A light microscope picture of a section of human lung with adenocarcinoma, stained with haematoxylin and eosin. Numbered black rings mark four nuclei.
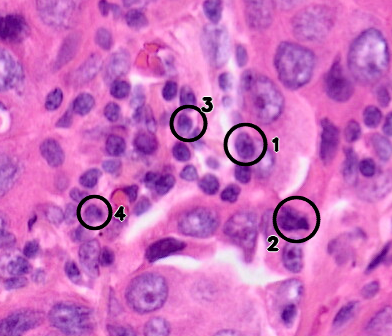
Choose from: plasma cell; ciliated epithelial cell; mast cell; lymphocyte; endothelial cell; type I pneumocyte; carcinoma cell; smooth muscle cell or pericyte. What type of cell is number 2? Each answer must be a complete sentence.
The one numbered 2 among the marked cells is a carcinoma cell.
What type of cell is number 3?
The cell identified by number 3 is a lymphocyte.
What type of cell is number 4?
The correct label for cell 4 is a lymphocyte.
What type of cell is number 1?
The mark numbered 1 indicates the nucleus of a lymphocyte.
